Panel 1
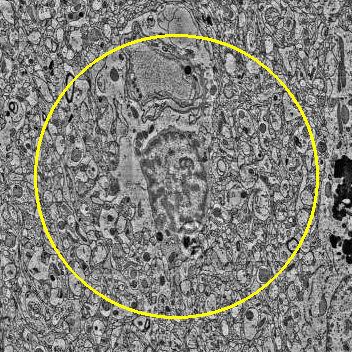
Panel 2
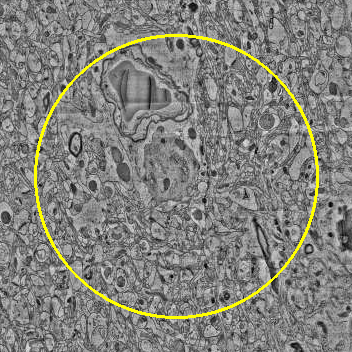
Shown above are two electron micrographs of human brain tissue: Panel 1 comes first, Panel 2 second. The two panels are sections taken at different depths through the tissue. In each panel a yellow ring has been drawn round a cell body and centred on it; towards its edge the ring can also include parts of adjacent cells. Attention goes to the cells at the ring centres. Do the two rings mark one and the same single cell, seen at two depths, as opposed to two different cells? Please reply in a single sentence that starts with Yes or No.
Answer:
Yes, one and the same cell lies under both rings.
